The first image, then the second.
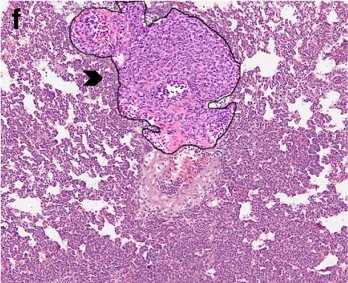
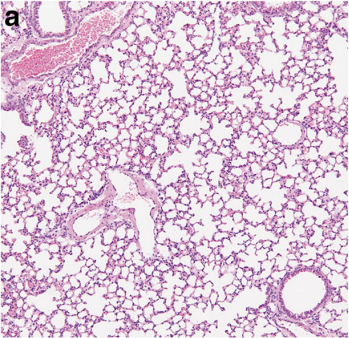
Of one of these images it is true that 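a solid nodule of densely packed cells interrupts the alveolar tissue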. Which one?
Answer: the first image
